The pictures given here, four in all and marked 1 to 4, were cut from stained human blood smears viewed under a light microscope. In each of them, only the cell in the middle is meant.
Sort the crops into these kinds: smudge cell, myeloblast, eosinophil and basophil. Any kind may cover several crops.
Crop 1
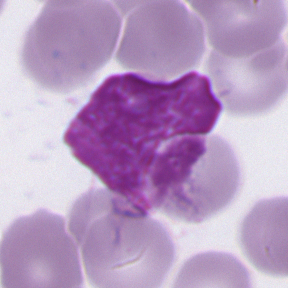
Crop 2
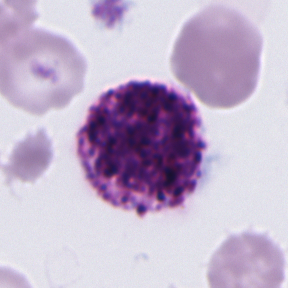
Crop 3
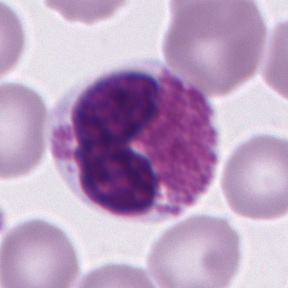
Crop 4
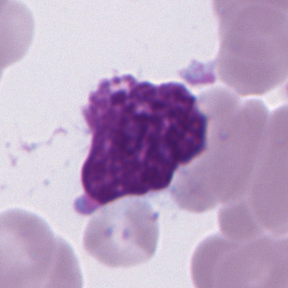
1: smudge cell
2: basophil
3: eosinophil
4: smudge cell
